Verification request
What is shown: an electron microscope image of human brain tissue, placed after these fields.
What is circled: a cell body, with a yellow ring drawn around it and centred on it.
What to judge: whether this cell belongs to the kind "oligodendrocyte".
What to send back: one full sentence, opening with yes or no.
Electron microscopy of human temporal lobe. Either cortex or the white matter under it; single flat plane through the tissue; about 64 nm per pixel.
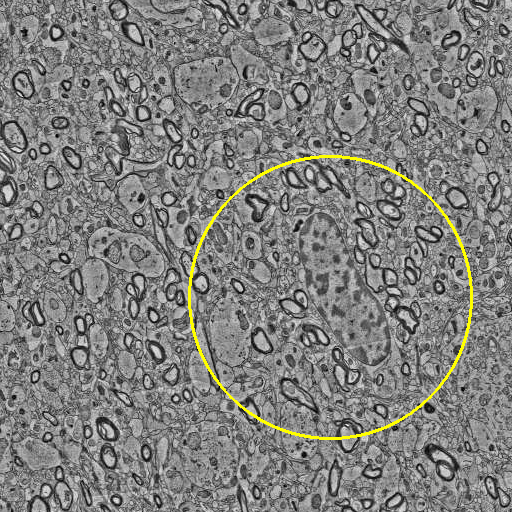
No, the cell on which the yellow ring is centred in the picture is of a different kind.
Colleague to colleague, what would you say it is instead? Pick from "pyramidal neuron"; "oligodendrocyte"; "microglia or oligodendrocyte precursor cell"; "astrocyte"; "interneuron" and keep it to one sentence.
So the cell at the centre is a microglial cell or oligodendrocyte precursor cell.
